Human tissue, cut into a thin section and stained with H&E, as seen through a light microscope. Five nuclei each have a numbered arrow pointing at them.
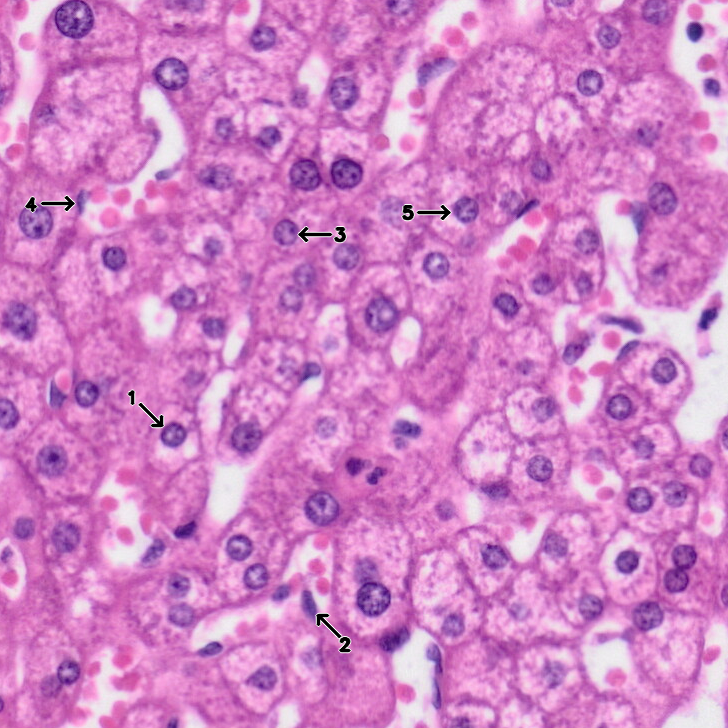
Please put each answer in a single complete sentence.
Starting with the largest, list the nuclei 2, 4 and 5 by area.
Largest first, the order by area is 5, 2, 4.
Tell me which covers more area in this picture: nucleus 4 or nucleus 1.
The larger nucleus is 1, at roughly 2 times the area of 4.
